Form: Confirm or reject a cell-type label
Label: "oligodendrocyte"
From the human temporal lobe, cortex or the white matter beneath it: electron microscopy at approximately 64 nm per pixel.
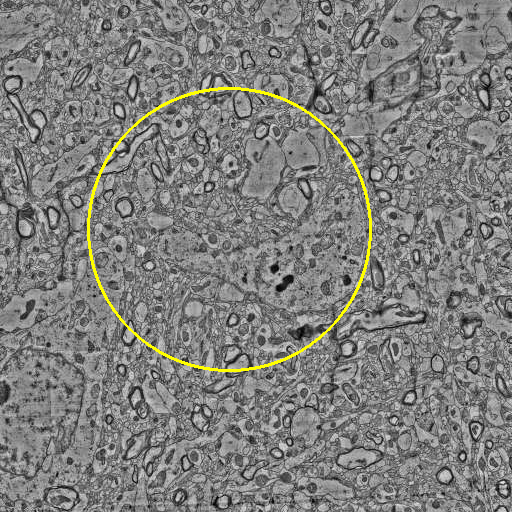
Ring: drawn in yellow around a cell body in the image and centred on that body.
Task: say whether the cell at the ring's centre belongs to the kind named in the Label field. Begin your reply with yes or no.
No, it belongs to another kind.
